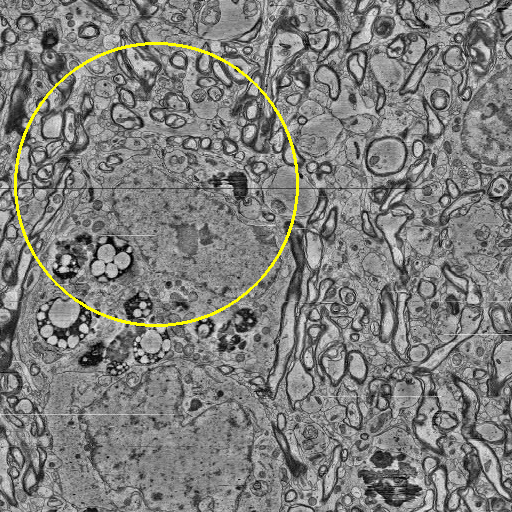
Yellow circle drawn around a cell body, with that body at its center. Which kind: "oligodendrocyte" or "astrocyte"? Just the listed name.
astrocyte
